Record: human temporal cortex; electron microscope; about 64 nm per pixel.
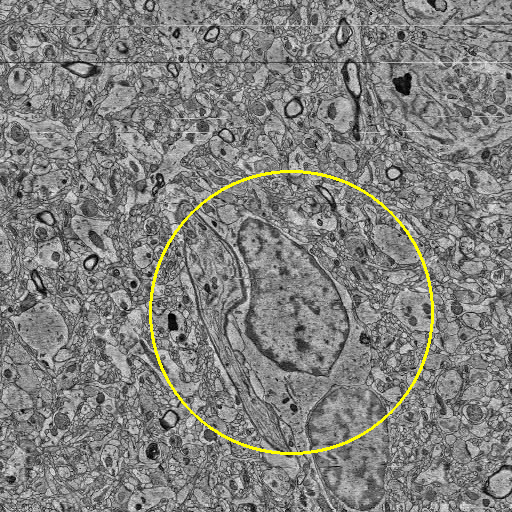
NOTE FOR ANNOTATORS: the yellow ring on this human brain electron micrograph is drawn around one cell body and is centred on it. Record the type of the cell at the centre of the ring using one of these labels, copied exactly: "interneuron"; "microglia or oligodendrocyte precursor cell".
microglia or oligodendrocyte precursor cell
